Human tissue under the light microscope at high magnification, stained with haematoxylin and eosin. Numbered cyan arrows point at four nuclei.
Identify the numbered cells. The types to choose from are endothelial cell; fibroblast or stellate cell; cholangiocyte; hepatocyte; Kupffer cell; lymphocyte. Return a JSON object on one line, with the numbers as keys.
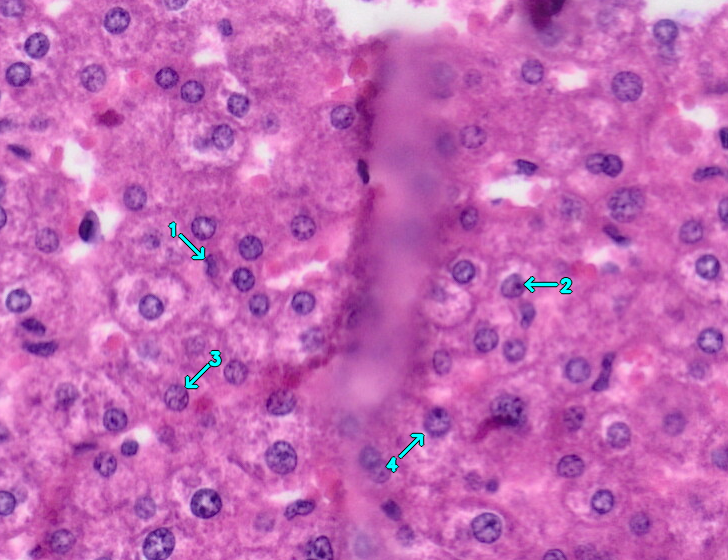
{"1": "endothelial cell", "2": "hepatocyte", "3": "hepatocyte", "4": "hepatocyte"}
